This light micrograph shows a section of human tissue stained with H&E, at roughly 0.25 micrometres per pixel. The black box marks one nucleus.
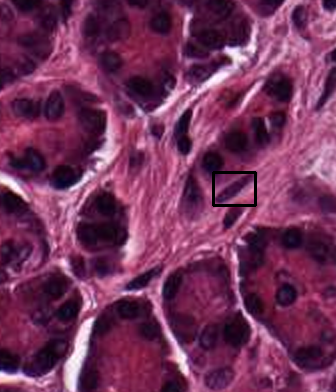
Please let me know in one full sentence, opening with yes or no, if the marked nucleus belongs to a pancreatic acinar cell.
No, instead of a pancreatic acinar cell, a supporting cell is what the marked nucleus belongs to.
